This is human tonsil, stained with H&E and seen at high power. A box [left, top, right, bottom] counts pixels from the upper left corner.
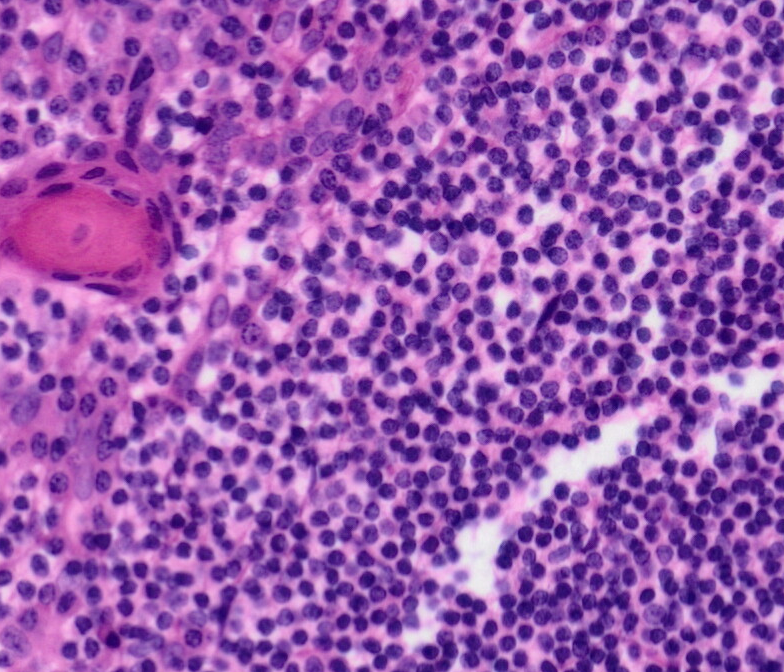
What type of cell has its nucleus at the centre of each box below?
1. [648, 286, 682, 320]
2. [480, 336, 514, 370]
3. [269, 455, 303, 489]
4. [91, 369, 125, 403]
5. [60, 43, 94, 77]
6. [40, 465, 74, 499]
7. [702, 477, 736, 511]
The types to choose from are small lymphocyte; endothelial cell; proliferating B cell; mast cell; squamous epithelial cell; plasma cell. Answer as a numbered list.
1. small lymphocyte
2. small lymphocyte
3. small lymphocyte
4. plasma cell
5. plasma cell
6. plasma cell
7. small lymphocyte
